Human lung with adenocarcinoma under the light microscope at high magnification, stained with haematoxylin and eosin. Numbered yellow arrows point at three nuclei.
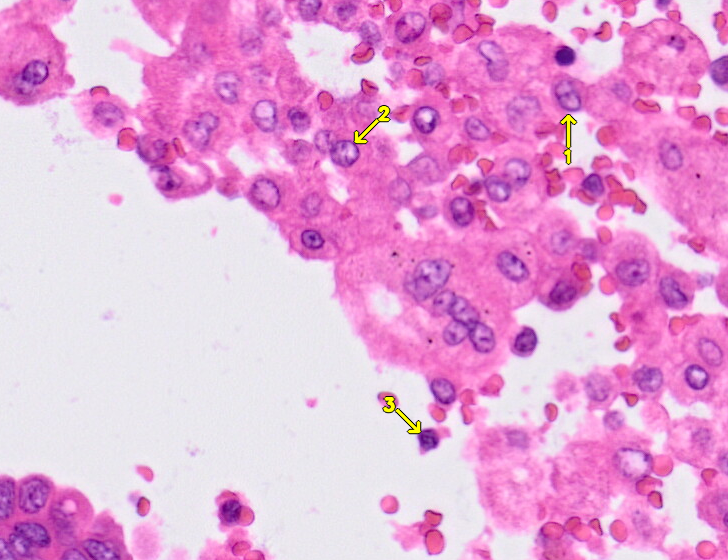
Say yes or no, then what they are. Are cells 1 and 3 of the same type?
No, cell 1 is a macrophage or monocyte and cell 3 is a lymphocyte.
